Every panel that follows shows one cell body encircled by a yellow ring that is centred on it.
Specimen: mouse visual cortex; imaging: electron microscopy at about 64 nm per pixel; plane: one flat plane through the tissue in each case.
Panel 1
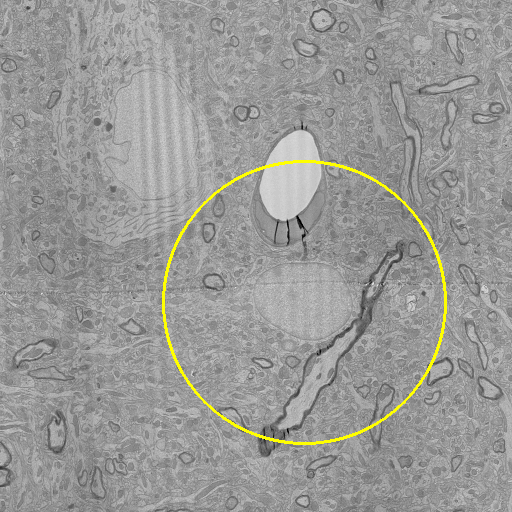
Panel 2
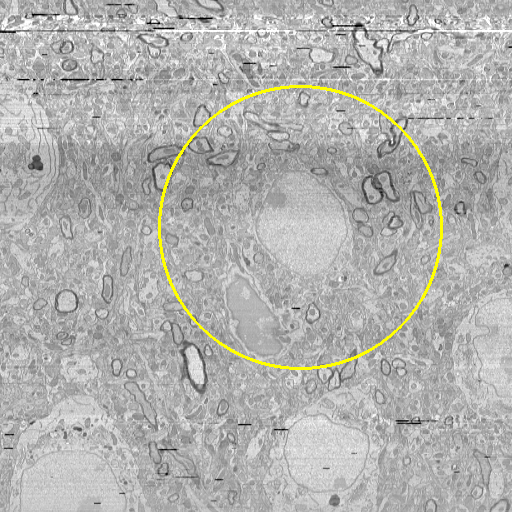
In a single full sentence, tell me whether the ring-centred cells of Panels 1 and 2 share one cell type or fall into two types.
In Panel 1 and Panel 2, the cells at the ring centres share one cell type.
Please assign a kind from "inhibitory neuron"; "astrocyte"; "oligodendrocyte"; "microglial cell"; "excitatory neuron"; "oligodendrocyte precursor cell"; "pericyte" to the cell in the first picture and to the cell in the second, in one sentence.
Both the first and the second picture show an astrocyte in the ring.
